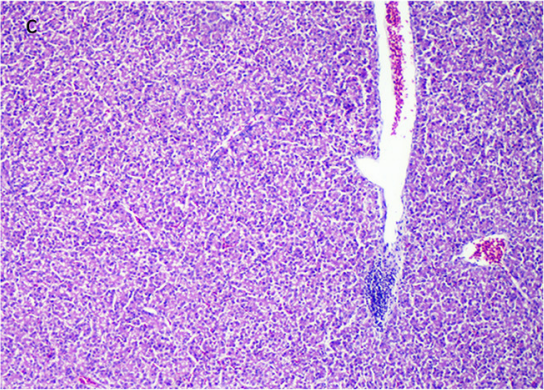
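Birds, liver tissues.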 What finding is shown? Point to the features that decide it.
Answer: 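A dense cluster of small dark purple nuclei lies at the lower end of an elongated blood vessel. The rest of the parenchyma is made of pink cords of cells without such clusters.
Hence: Perivascular minute aggregations of inflammatory cells.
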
